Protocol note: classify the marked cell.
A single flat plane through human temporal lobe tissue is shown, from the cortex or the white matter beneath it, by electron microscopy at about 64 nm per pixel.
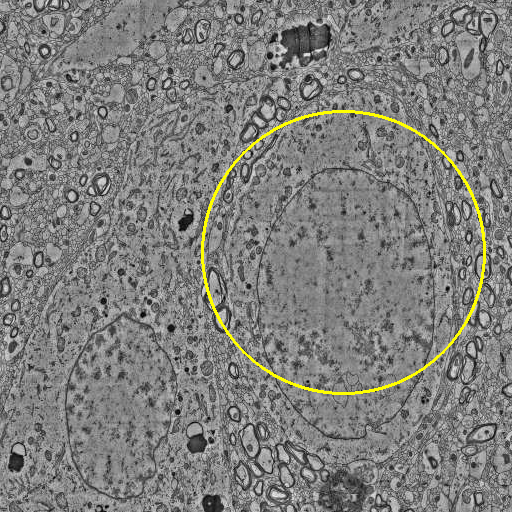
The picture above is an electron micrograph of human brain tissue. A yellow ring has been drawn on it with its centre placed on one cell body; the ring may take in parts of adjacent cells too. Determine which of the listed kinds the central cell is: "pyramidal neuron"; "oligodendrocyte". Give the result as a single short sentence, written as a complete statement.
The central cell is a pyramidal neuron.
